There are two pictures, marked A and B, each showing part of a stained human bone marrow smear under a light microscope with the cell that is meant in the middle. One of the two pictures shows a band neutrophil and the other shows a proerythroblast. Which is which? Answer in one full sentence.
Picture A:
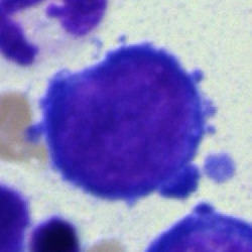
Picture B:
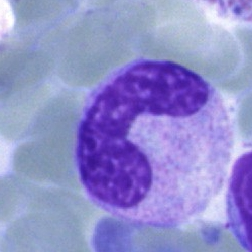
In picture A the cell is a proerythroblast; in picture B, a band neutrophil.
